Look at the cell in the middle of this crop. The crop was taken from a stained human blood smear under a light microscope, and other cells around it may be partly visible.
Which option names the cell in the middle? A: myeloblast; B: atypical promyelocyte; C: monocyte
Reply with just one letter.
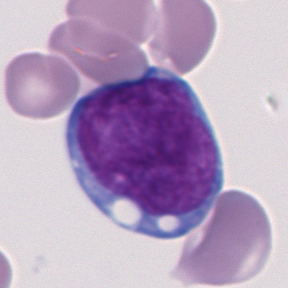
A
